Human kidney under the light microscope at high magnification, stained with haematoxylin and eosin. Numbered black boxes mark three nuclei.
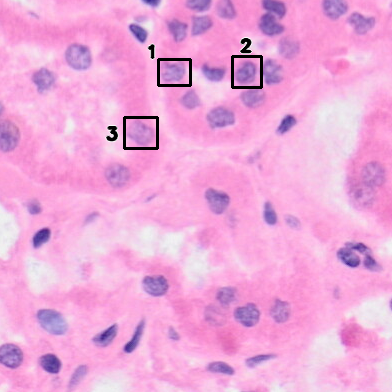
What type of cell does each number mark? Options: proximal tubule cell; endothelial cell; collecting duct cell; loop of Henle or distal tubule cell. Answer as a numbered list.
1. loop of Henle or distal tubule cell
2. loop of Henle or distal tubule cell
3. proximal tubule cell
